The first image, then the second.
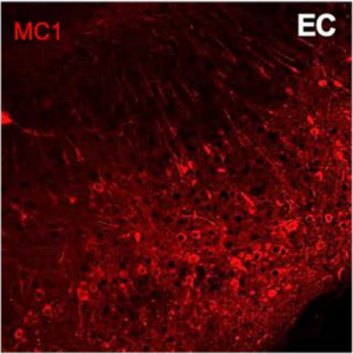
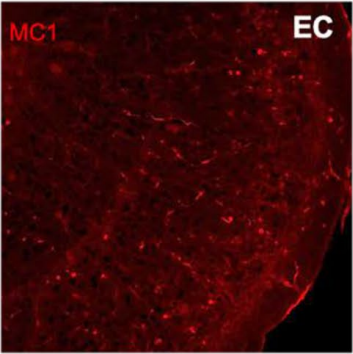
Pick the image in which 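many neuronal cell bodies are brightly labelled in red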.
The first image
